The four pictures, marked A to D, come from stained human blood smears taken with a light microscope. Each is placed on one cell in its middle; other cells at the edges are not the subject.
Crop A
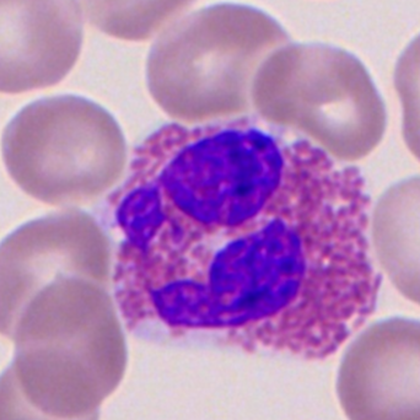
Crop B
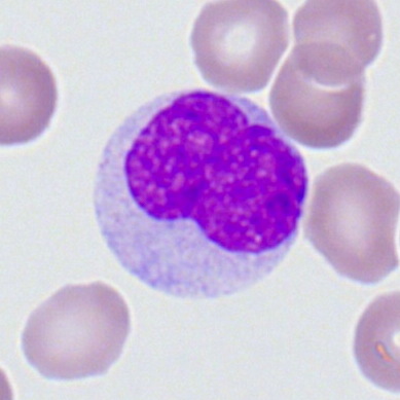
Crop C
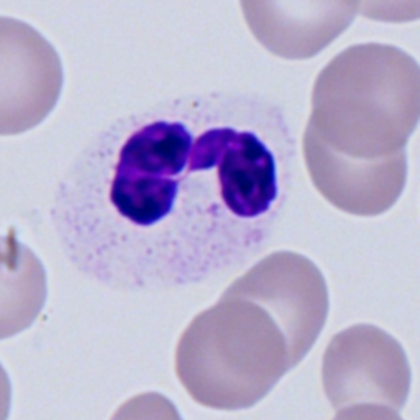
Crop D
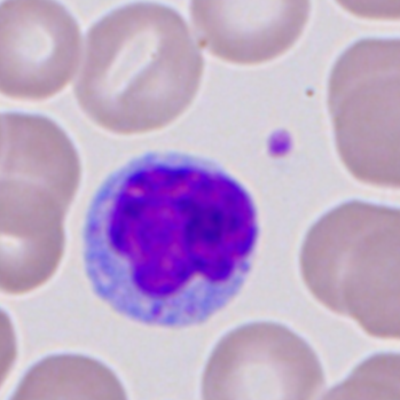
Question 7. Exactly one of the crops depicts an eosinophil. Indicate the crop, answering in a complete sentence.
The correct choice is crop A, the one showing an eosinophil.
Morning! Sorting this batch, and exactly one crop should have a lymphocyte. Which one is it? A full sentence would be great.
Crop D, and no other, is the one that shows a lymphocyte.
